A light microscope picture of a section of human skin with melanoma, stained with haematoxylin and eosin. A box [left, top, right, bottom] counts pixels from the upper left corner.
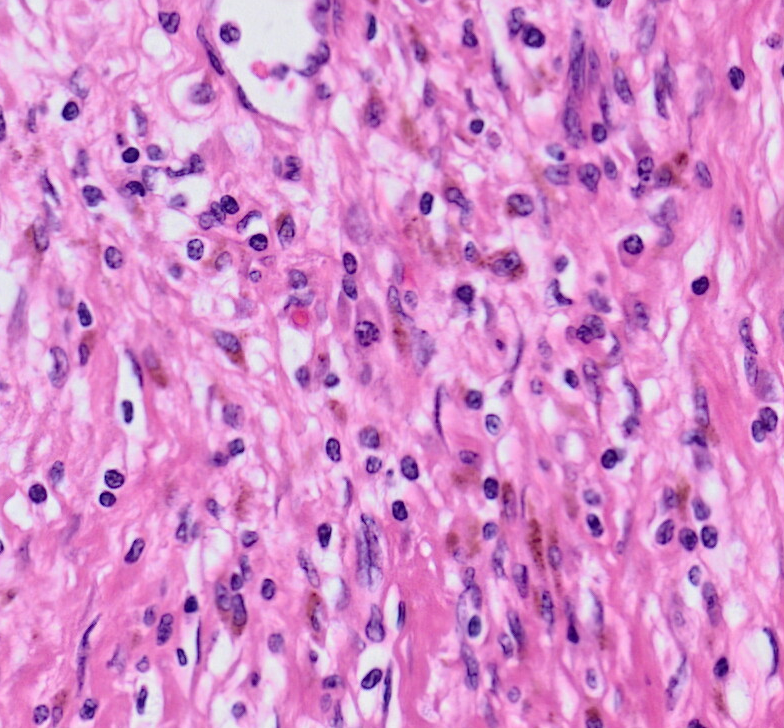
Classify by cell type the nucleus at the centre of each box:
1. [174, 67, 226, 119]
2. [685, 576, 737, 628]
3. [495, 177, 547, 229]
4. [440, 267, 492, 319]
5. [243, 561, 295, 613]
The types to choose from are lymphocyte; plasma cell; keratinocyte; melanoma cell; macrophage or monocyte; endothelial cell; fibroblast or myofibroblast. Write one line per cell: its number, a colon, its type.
1: macrophage or monocyte
2: macrophage or monocyte
3: macrophage or monocyte
4: plasma cell
5: lymphocyte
